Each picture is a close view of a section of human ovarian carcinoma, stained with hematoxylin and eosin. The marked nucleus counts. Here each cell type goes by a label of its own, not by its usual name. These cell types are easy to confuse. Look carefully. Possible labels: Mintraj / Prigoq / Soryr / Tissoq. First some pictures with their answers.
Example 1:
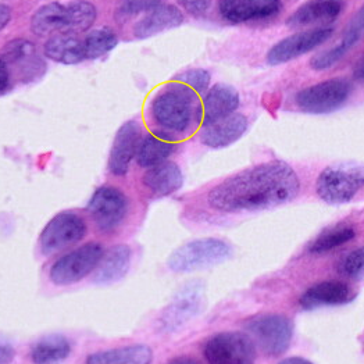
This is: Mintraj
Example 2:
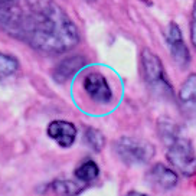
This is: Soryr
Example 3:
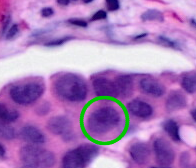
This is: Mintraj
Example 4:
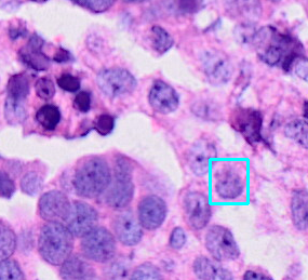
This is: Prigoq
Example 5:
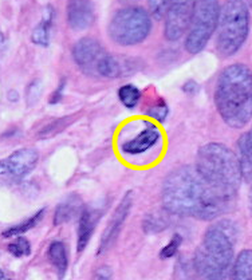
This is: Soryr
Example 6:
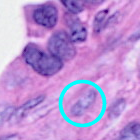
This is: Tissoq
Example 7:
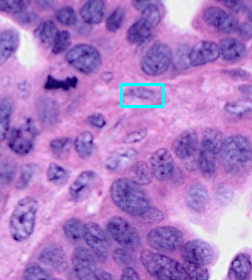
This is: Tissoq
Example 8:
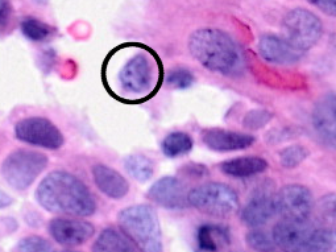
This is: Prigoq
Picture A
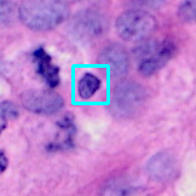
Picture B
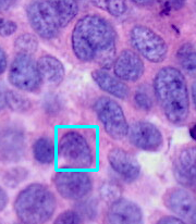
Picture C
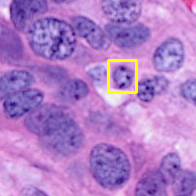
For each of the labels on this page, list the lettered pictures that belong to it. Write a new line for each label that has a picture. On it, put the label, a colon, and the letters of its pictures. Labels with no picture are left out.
Mintraj: B
Prigoq: C
Soryr: A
